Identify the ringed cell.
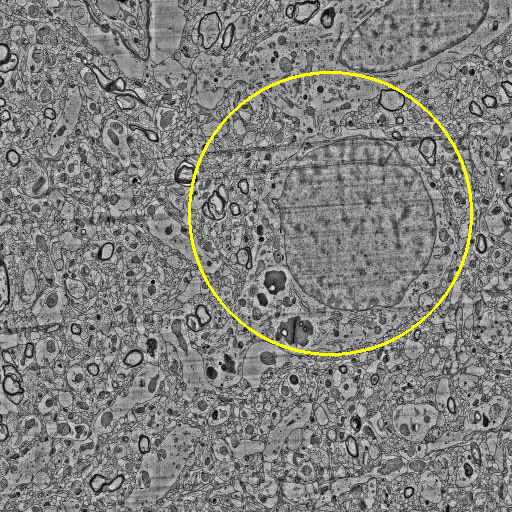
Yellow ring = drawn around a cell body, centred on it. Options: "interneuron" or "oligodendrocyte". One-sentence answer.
What the ring is centred on is an interneuron.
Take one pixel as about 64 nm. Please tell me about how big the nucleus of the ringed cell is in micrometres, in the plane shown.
The nucleus is about 11 micrometres across in this plane.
